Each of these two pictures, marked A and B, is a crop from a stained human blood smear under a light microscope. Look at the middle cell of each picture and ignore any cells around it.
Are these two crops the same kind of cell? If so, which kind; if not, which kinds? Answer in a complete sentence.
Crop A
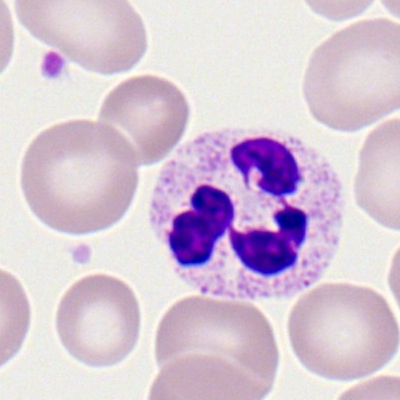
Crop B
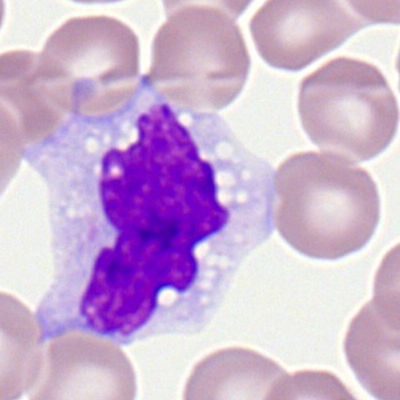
No, cell A is a segmented neutrophil, and cell B is a monocyte.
